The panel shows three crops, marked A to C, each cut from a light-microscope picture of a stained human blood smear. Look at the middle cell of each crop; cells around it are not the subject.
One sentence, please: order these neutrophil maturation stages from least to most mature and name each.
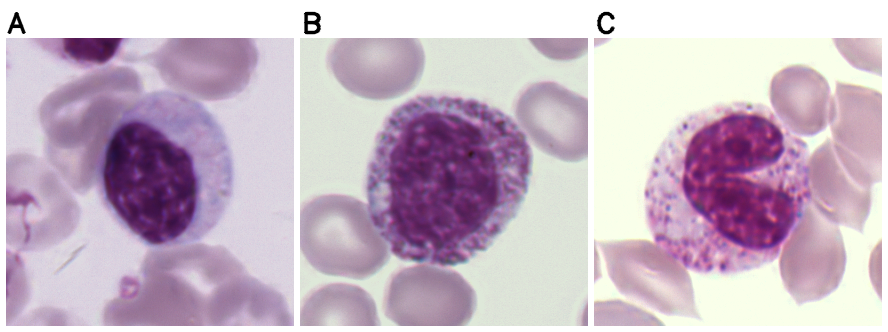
Moving up in maturity, the order goes crop B (a myelocyte), crop A (a metamyelocyte) and crop C (a band neutrophil).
